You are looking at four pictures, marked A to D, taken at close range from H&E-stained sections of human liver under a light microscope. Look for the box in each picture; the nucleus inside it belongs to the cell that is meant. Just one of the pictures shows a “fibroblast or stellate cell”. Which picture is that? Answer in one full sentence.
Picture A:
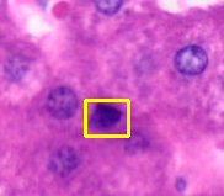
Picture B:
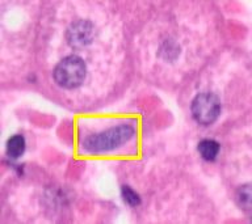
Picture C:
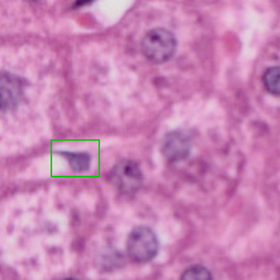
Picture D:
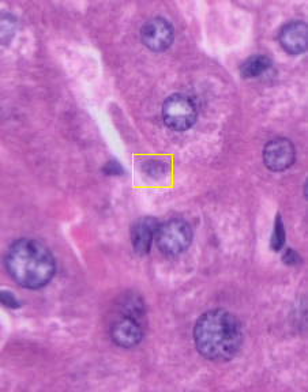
The picture with the “fibroblast or stellate cell” is A.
